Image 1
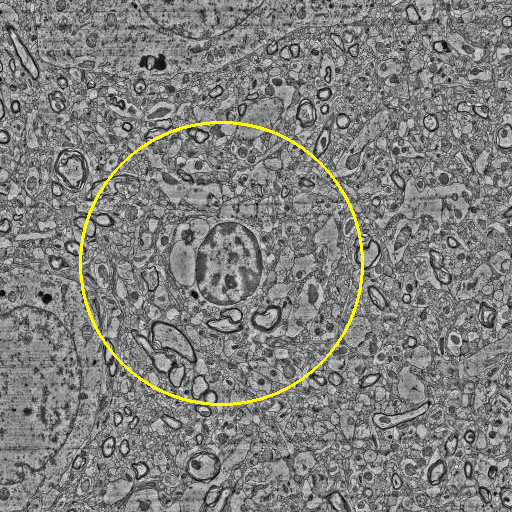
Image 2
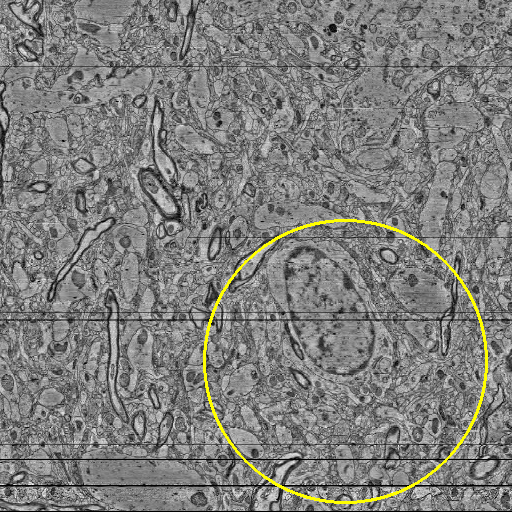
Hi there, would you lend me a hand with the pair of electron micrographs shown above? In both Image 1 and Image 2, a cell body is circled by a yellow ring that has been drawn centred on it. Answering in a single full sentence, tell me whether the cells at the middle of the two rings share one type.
Yes, the ringed cells in Image 1 and Image 2 share one type.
